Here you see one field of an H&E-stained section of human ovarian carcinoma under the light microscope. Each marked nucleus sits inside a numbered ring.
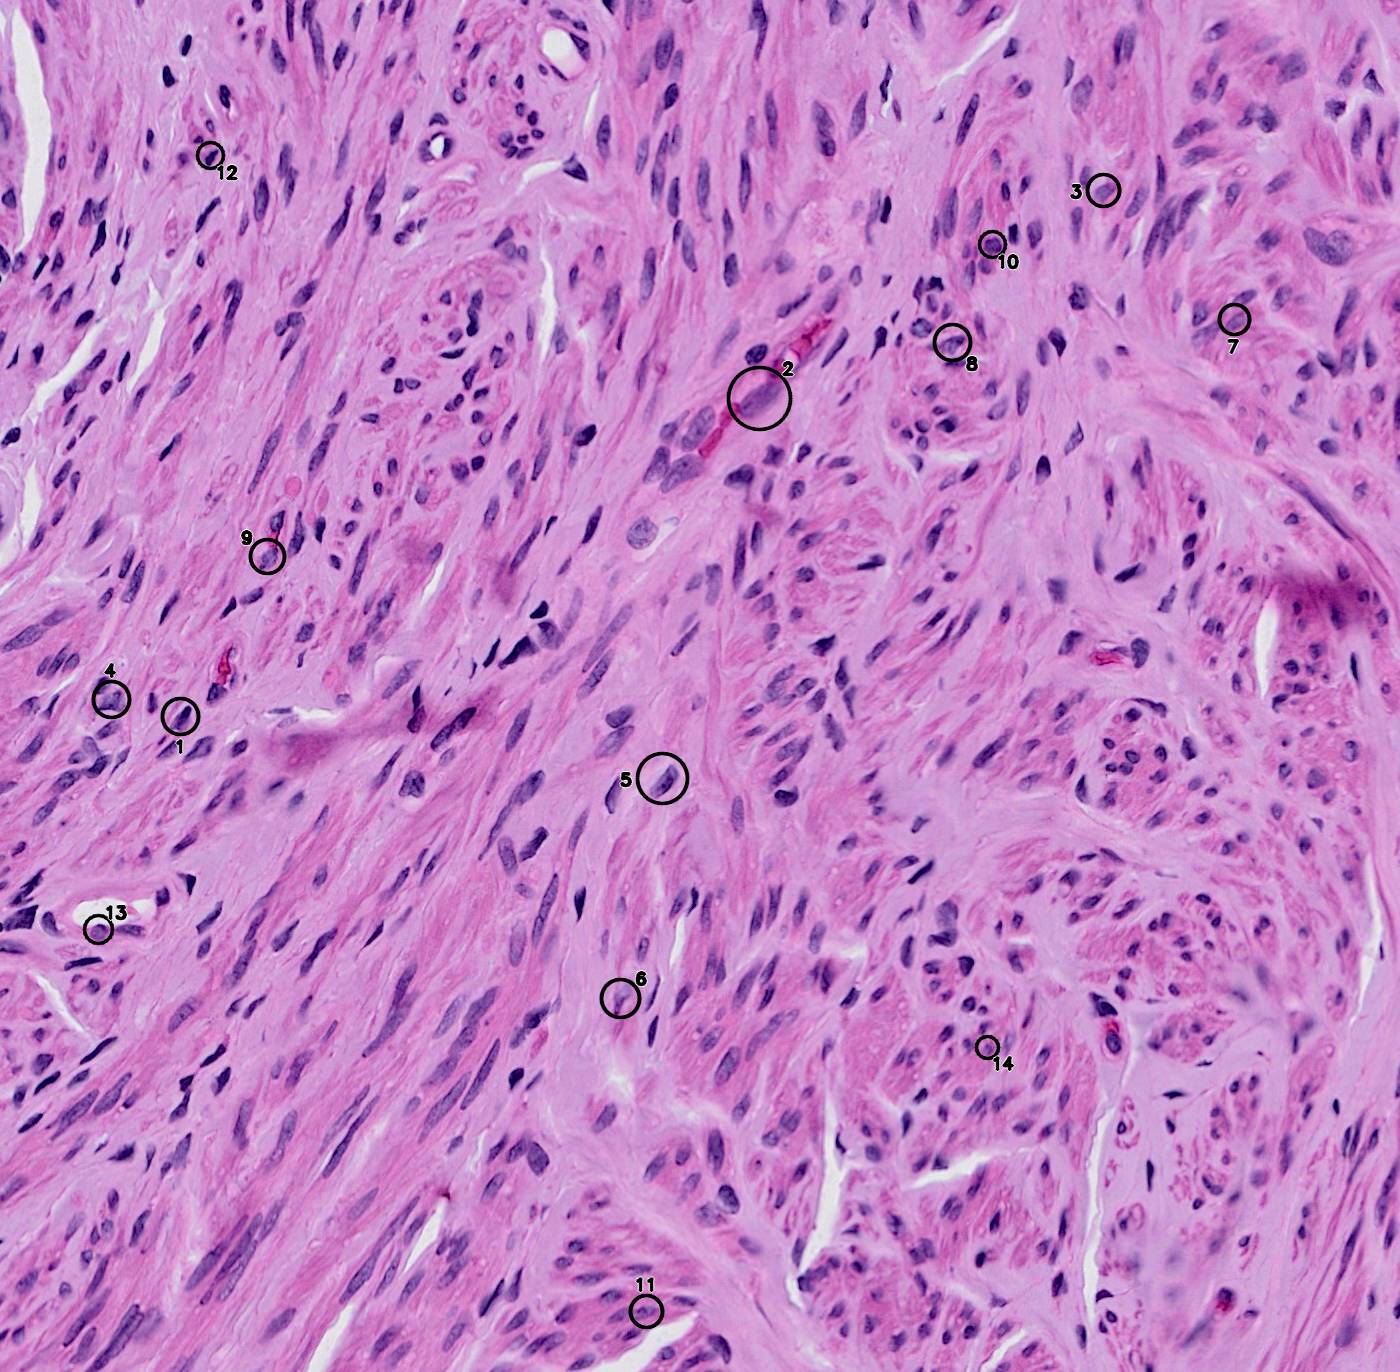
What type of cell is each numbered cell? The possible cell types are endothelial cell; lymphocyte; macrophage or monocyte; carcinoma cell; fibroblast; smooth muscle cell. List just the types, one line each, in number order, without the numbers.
fibroblast
endothelial cell
smooth muscle cell
fibroblast
fibroblast
smooth muscle cell
smooth muscle cell
smooth muscle cell
endothelial cell
smooth muscle cell
smooth muscle cell
smooth muscle cell
endothelial cell
smooth muscle cell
